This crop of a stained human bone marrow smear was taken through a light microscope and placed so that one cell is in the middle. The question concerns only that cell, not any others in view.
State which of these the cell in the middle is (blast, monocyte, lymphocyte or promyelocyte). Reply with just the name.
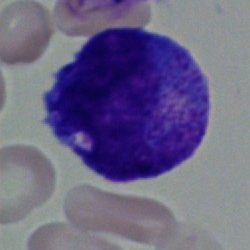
promyelocyte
